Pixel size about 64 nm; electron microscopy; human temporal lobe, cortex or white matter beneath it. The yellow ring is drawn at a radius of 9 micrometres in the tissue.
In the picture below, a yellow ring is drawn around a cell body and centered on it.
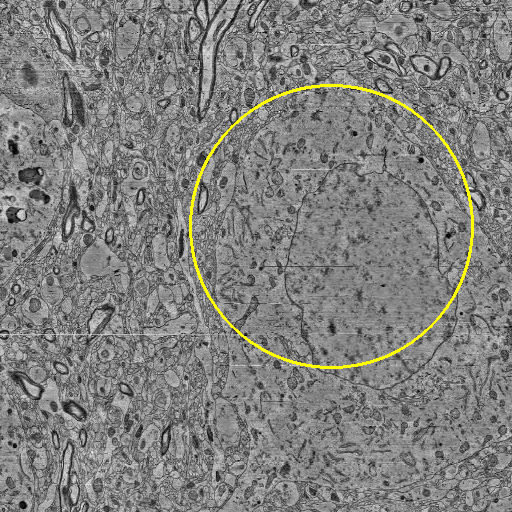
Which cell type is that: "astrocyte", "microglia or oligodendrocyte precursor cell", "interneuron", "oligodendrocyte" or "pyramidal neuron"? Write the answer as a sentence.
The cell centered in the ring is a pyramidal neuron.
